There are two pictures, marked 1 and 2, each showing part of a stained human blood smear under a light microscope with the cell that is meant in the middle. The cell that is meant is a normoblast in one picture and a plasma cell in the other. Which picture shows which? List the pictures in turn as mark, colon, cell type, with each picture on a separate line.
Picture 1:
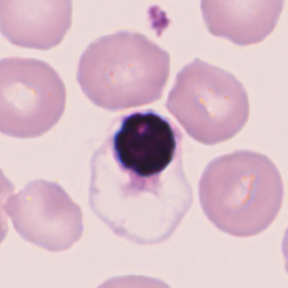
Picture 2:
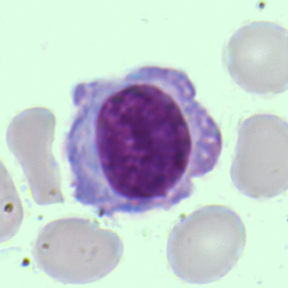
1: normoblast
2: plasma cell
